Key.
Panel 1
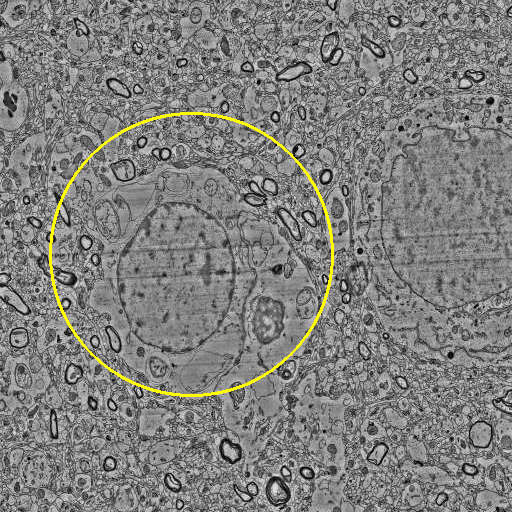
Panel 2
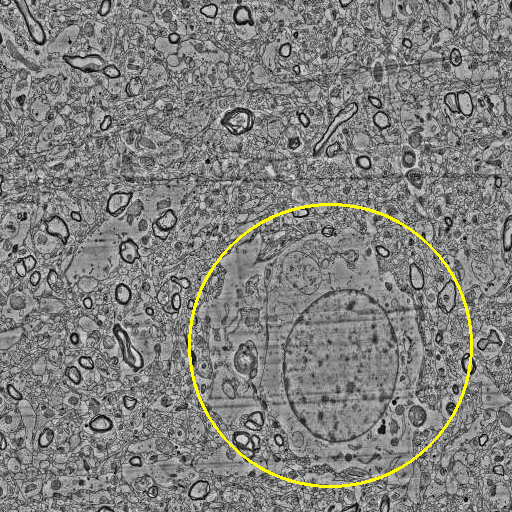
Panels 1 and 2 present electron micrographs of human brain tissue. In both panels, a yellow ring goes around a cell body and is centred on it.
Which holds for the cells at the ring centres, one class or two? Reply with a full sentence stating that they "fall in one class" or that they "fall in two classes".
Taken together, the ring-centre cells of the two panels fall in one class.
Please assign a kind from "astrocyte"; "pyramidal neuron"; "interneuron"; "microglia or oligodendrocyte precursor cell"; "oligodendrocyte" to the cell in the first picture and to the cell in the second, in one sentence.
Each of the two pictures has an astrocyte at the ring centre.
